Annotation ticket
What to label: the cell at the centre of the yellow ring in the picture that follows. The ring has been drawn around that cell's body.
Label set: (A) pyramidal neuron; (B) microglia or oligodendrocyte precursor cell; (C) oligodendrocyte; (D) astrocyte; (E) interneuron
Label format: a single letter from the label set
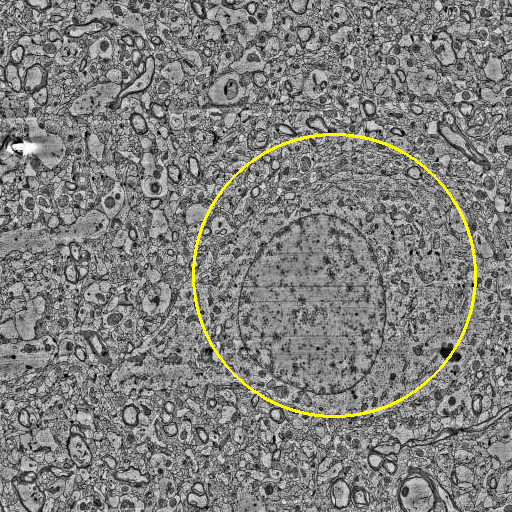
E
